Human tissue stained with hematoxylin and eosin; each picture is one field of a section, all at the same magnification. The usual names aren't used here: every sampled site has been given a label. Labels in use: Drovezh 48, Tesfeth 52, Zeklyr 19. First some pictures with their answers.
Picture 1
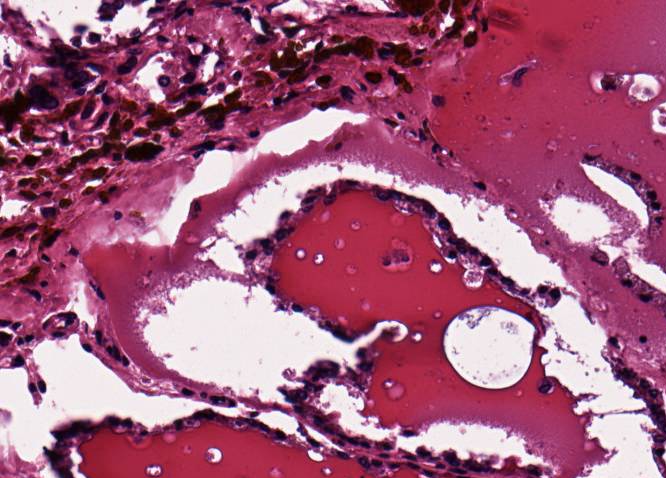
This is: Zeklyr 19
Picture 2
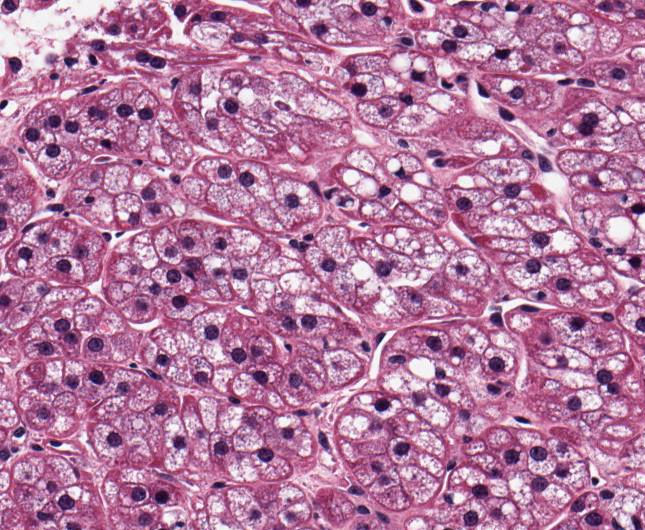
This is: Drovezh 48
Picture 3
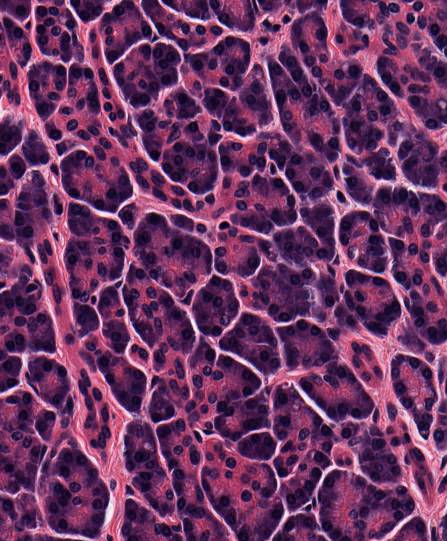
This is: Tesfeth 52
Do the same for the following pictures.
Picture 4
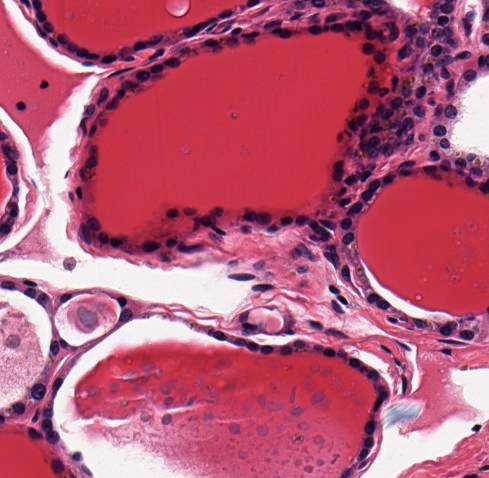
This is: Zeklyr 19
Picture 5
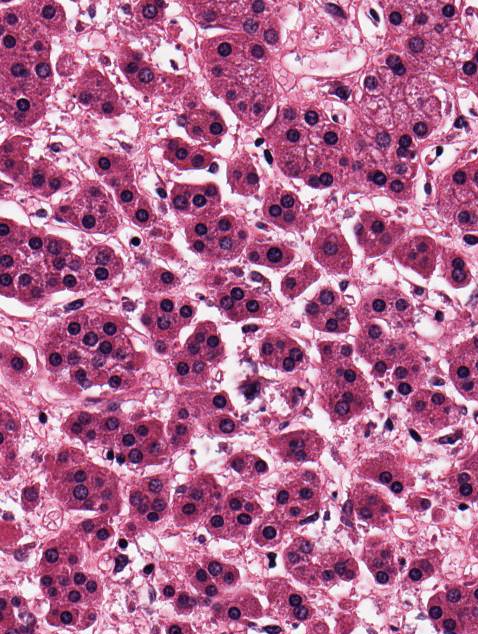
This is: Drovezh 48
